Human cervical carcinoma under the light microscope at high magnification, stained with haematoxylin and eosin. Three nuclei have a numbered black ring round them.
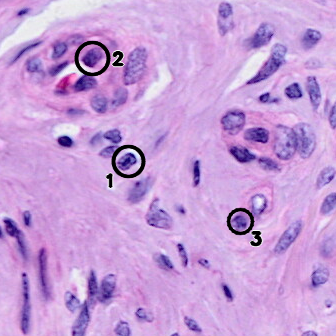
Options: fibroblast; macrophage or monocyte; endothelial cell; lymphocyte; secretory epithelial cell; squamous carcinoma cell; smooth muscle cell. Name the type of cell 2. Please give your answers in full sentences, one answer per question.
The cell bearing label 2 corresponds to an endothelial cell.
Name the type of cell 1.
In this section, number 1 marks a lymphocyte.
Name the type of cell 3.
The cell that is numbered 3 is a smooth muscle cell.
